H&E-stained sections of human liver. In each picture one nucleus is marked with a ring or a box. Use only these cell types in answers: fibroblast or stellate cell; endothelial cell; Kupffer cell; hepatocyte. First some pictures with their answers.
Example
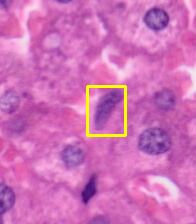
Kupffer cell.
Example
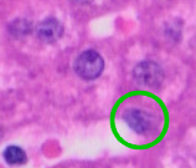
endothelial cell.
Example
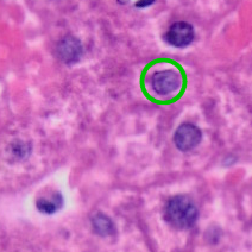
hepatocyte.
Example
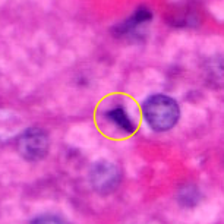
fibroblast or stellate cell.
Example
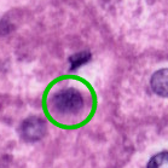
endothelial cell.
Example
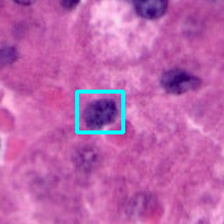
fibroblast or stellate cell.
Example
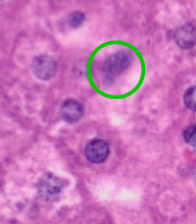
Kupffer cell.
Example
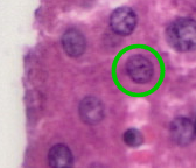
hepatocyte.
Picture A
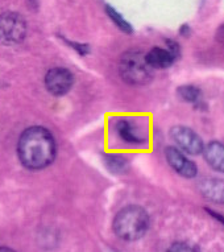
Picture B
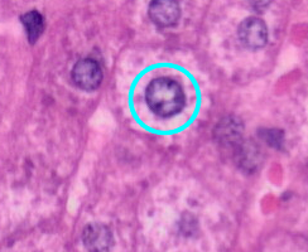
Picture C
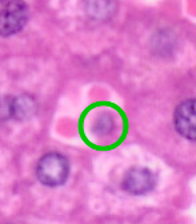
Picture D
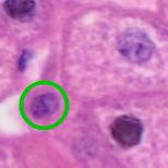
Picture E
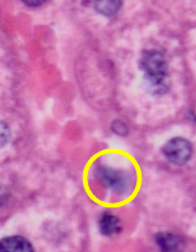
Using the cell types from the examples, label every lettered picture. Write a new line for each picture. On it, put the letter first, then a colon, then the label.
A: fibroblast or stellate cell.
B: hepatocyte.
C: Kupffer cell.
D: Kupffer cell.
E: endothelial cell.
